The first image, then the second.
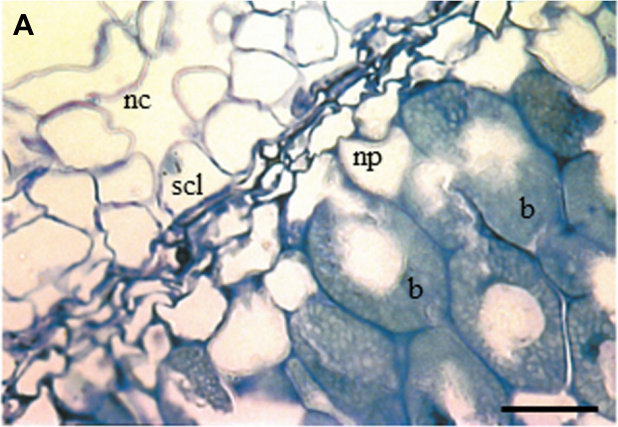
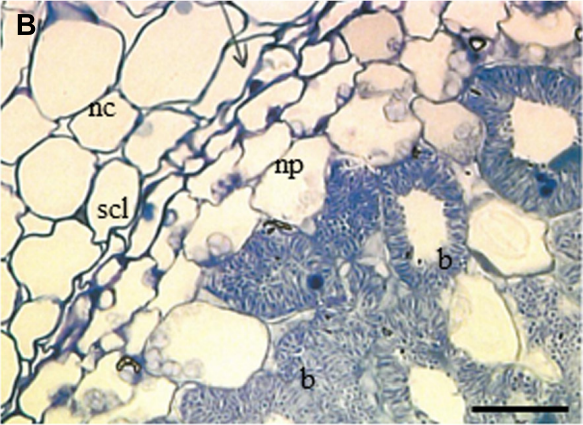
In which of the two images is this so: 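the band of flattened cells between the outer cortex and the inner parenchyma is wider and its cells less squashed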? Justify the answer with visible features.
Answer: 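The second image. First image: the band is a narrow, dark, compressed streak of crushed cell walls. Second image: the band is broader, made of several rows of thin-walled cells with open lumens.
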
